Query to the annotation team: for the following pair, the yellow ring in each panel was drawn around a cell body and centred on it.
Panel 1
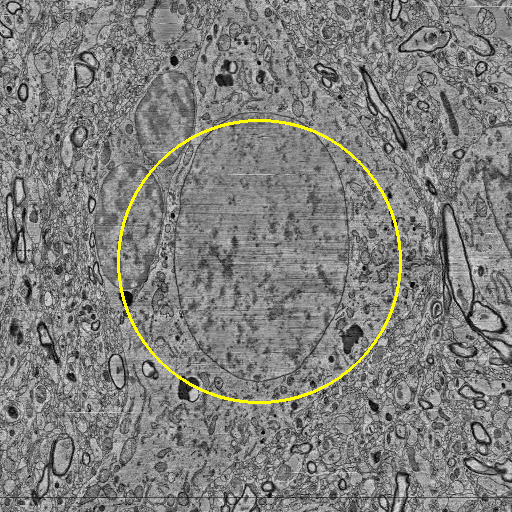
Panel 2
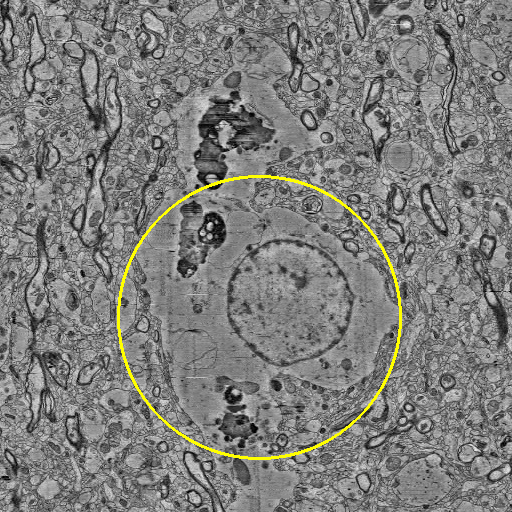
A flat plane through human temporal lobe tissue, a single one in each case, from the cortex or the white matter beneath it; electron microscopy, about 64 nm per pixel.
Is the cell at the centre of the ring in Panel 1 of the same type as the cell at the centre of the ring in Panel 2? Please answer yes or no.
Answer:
no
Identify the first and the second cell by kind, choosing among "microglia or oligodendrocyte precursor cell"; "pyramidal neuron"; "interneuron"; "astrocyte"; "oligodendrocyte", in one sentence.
The one in the first picture is a pyramidal neuron, while the one in the second is an astrocyte.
